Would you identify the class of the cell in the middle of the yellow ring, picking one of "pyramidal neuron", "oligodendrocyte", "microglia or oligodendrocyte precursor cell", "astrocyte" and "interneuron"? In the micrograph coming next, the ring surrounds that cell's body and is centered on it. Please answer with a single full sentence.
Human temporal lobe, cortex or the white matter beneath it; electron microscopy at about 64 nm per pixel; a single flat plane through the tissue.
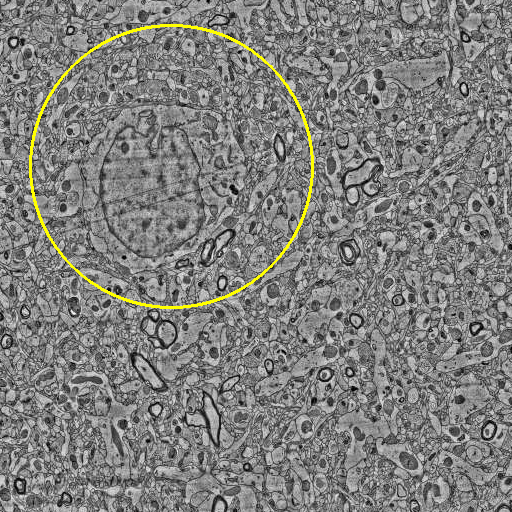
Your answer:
In the micrograph, it is an interneuron whose body lies at the ring's center.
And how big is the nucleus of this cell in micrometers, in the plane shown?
In this plane the nucleus measures roughly 9 by 7 micrometres.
